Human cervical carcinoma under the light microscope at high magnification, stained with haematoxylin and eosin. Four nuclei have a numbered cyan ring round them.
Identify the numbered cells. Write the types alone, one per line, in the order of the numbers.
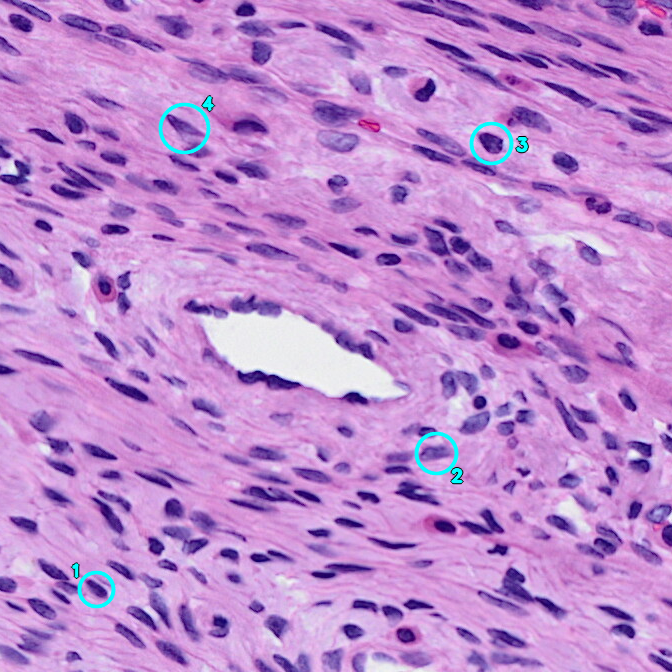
fibroblast
fibroblast
lymphocyte
fibroblast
